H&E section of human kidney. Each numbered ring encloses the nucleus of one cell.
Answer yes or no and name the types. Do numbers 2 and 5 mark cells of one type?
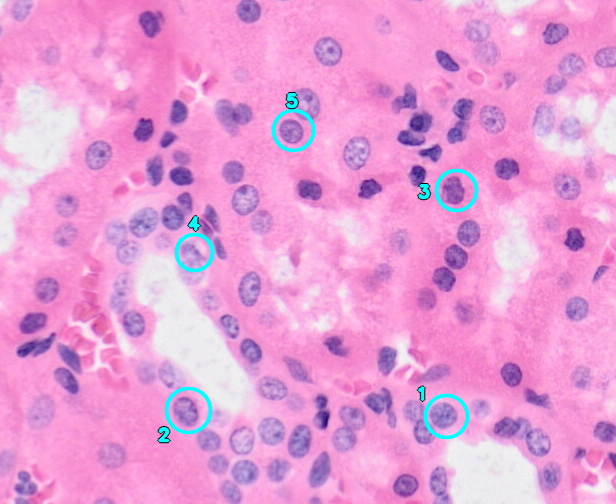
No, cell 2 here is a collecting duct cell, and cell 5 here is a proximal tubule cell.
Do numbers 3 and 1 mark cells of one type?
No, cell 3 is a proximal tubule cell whereas cell 1 is a collecting duct cell.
